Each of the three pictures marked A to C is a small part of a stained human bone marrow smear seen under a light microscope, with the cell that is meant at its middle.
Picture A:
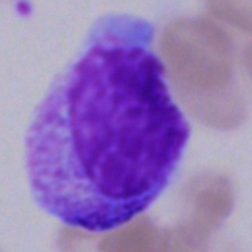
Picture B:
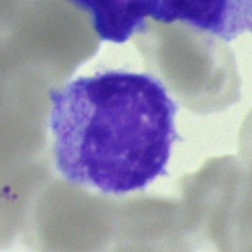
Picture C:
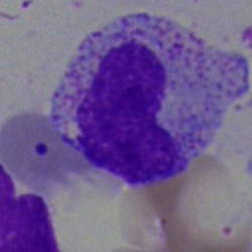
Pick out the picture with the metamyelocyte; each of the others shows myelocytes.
C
